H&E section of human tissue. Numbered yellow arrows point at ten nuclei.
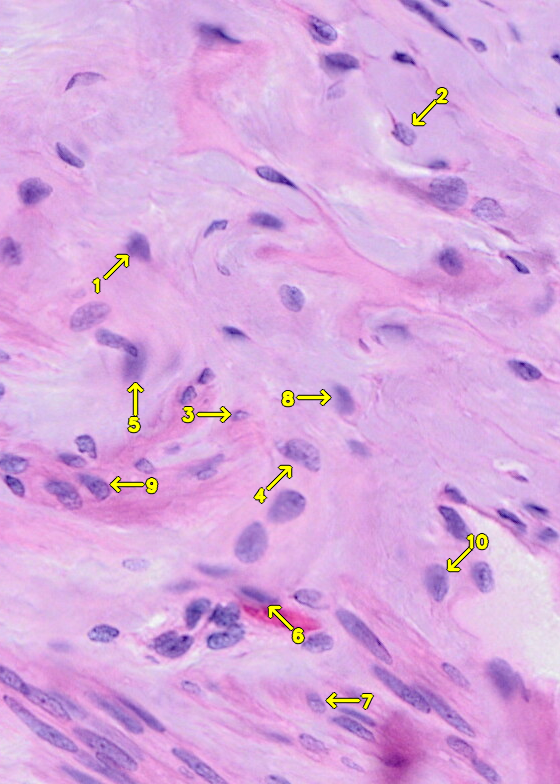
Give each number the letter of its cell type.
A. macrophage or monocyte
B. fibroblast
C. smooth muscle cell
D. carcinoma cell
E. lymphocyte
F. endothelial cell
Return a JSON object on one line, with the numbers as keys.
{"1": "B", "2": "B", "3": "C", "4": "B", "5": "B", "6": "F", "7": "C", "8": "B", "9": "C", "10": "B"}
